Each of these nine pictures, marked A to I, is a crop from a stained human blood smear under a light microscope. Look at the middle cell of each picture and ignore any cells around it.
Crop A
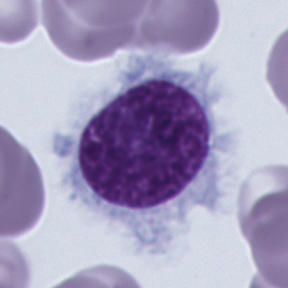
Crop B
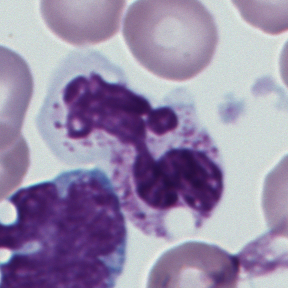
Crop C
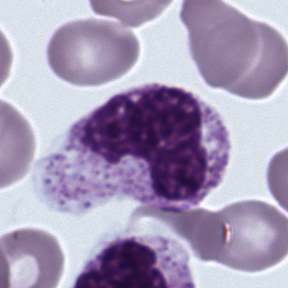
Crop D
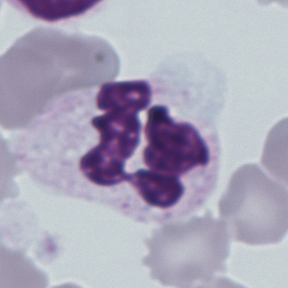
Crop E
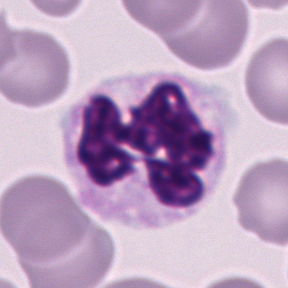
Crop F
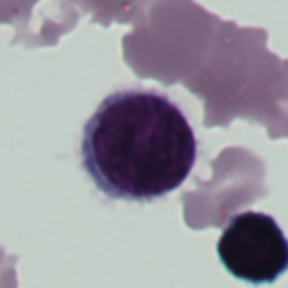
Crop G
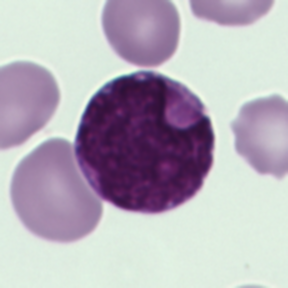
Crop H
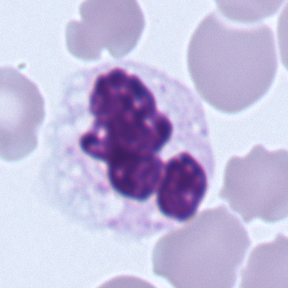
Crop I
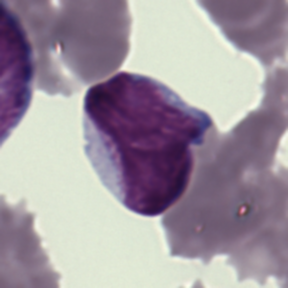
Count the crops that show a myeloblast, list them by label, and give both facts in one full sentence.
The number of crops showing myeloblasts is two, these being G and I.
